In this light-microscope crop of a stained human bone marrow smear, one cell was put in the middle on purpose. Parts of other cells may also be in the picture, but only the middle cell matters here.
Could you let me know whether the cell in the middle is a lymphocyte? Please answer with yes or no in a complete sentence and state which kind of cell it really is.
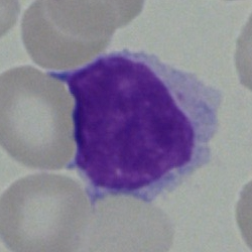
Yes, centred in the crop is a lymphocyte.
